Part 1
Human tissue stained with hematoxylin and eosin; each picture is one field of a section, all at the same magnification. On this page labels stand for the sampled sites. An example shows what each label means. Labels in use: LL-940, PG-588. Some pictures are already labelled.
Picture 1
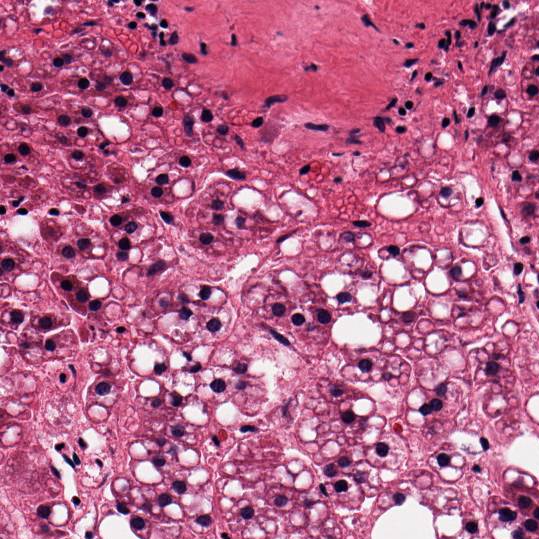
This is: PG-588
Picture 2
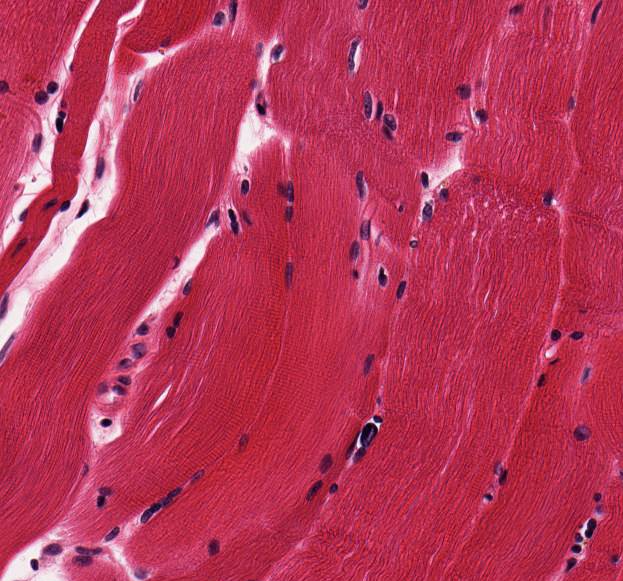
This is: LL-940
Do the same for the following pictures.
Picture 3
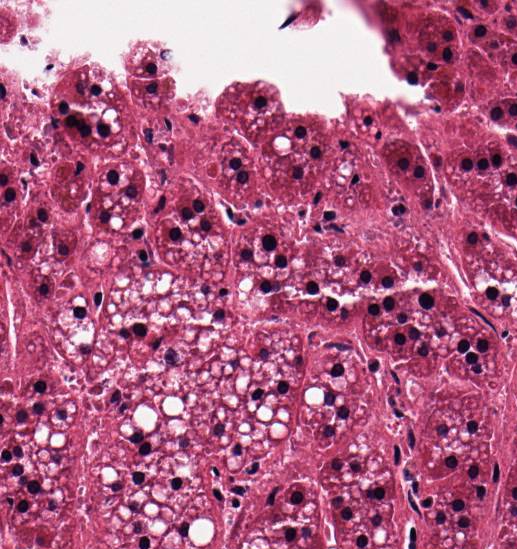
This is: PG-588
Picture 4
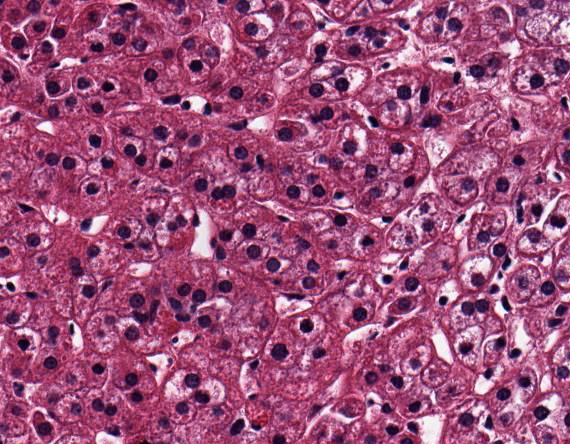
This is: PG-588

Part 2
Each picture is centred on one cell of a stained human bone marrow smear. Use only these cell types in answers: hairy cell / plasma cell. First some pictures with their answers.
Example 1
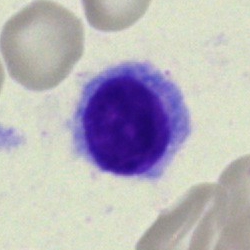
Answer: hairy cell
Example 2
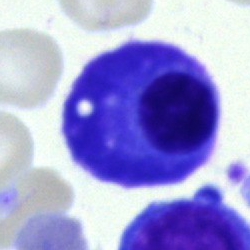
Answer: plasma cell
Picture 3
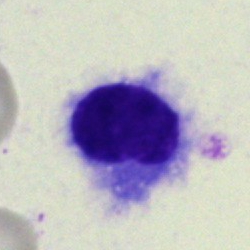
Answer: hairy cell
